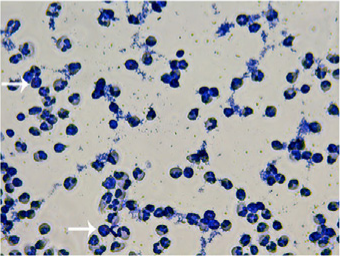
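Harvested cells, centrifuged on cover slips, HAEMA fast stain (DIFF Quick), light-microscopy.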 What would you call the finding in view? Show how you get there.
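Clotting. Cells lie in clumps and chains. Fine blue strands and threads run between the cells.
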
